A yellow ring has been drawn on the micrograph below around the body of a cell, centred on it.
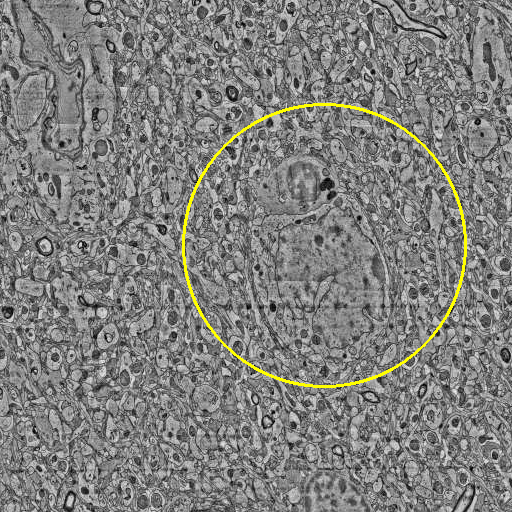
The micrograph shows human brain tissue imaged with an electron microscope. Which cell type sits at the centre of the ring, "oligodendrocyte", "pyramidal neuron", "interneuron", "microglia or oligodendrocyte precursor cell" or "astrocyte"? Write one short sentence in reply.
The cell sitting at the centre of the ring is an interneuron.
